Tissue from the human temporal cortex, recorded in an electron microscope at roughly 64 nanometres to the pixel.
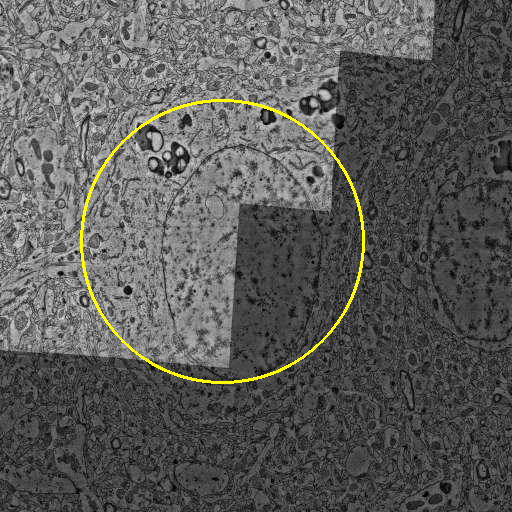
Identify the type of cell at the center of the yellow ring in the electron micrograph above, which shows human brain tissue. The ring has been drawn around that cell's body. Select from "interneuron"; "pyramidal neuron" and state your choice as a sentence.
The yellow ring is centered on the body of a pyramidal neuron.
